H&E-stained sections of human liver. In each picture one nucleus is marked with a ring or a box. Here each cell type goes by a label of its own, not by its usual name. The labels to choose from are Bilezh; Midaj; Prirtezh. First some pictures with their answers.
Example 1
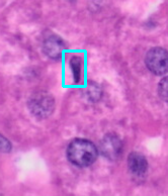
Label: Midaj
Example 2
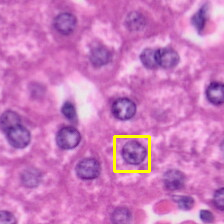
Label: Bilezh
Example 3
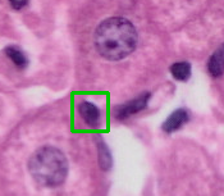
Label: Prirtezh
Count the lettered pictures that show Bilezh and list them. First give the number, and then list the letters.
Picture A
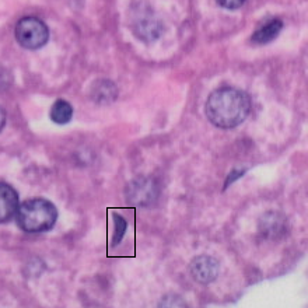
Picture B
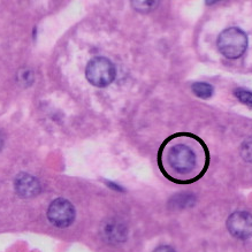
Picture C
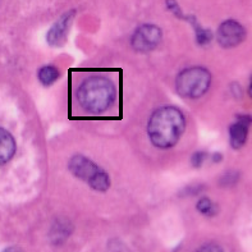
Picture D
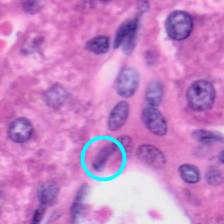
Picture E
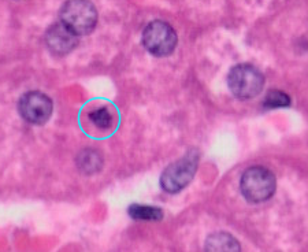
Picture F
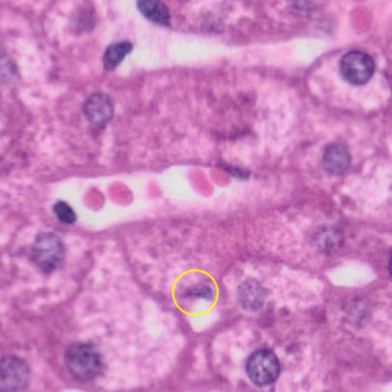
Count: 2 (B, C)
